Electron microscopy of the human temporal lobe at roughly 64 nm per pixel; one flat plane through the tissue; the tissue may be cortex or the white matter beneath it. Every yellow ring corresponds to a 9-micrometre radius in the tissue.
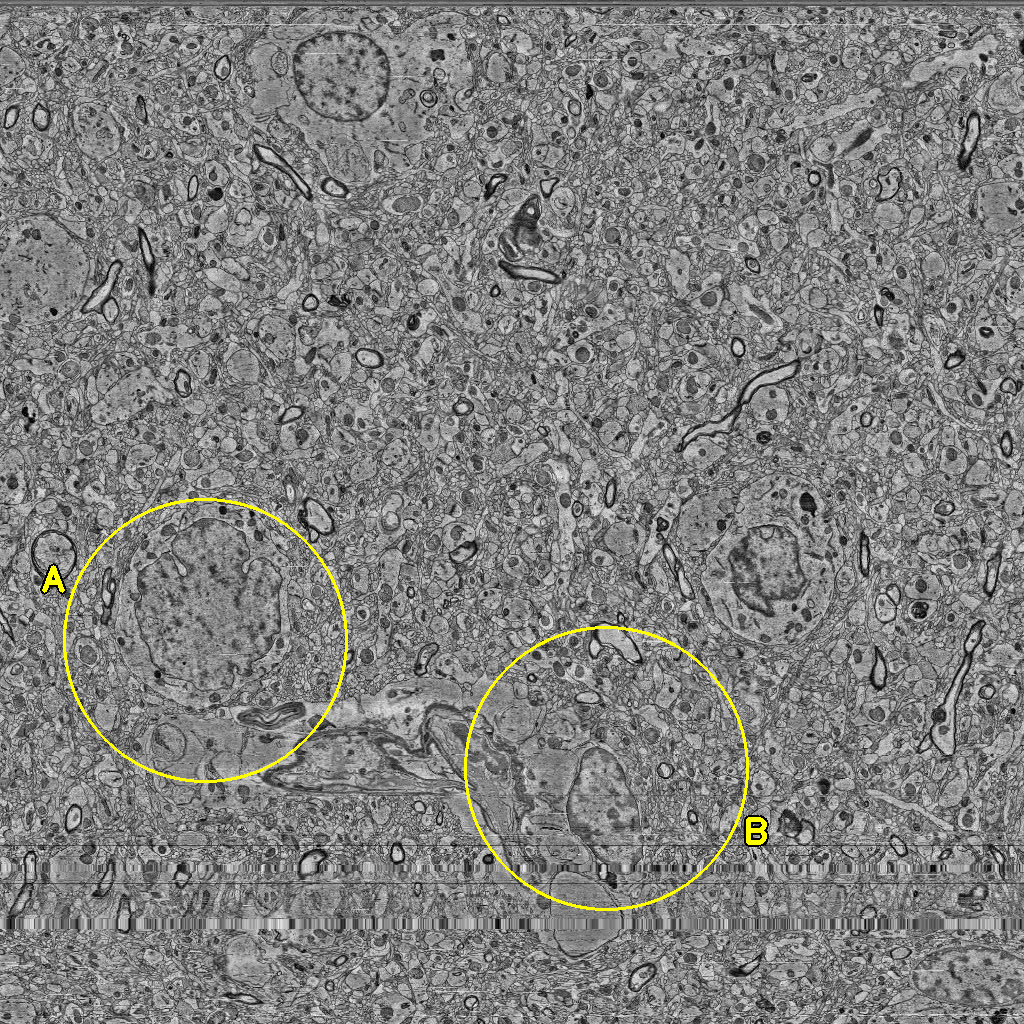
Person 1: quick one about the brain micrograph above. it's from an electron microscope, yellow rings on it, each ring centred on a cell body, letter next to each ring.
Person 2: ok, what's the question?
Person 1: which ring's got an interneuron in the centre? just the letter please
A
